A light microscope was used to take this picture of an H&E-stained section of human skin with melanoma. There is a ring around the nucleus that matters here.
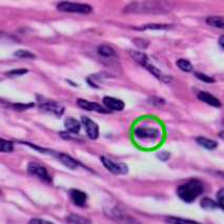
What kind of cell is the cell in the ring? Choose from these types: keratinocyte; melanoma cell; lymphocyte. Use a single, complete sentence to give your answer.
Cytologically, the cell in the ring is to be regarded as a lymphocyte.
